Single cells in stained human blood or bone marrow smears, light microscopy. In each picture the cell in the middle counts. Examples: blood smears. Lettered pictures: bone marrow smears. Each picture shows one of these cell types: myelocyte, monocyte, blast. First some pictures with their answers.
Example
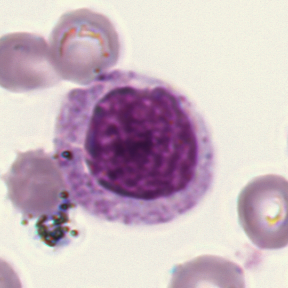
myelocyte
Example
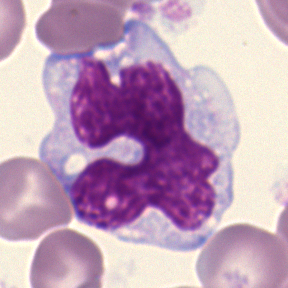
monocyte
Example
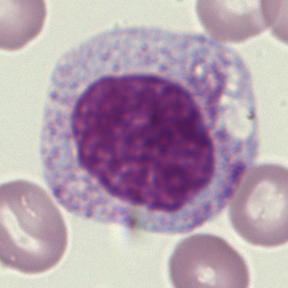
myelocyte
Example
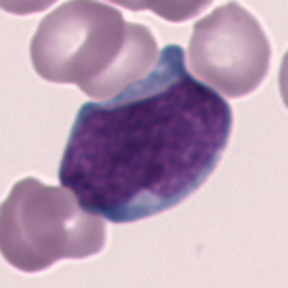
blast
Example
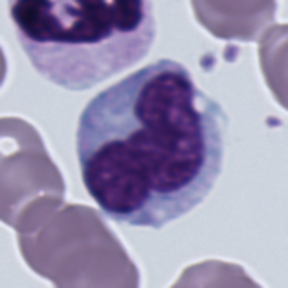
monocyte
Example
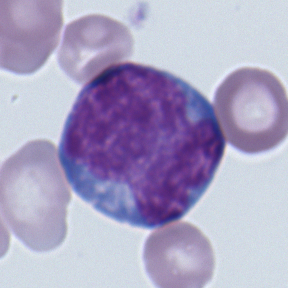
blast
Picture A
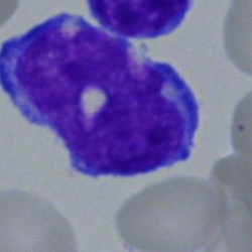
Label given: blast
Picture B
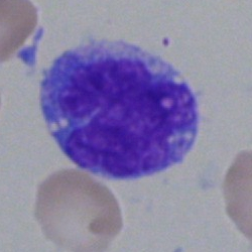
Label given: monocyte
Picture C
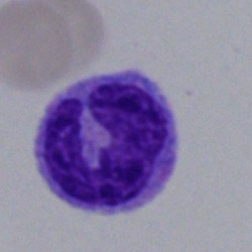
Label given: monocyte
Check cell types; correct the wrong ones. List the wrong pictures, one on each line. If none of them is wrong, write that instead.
Every label is right.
